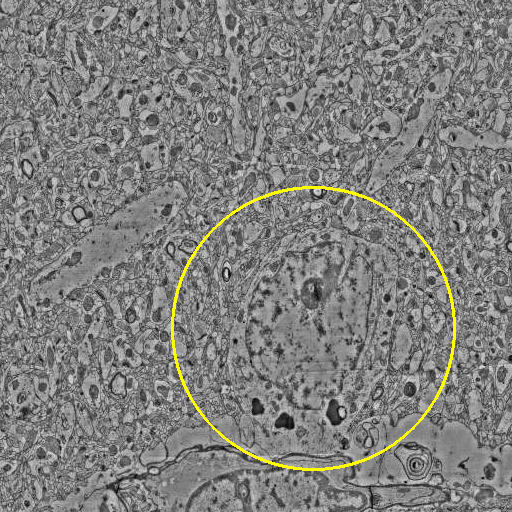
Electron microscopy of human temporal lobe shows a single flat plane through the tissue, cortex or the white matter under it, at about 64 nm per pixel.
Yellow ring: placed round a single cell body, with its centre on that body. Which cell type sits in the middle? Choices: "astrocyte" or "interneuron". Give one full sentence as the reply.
It is an interneuron whose cell body sits at the centre of the yellow ring.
